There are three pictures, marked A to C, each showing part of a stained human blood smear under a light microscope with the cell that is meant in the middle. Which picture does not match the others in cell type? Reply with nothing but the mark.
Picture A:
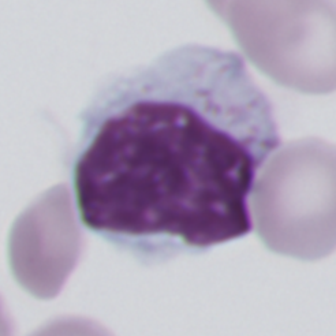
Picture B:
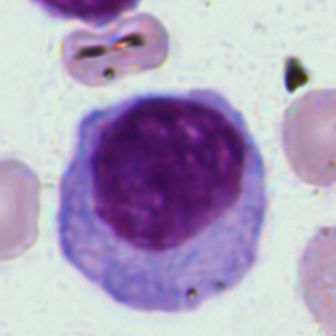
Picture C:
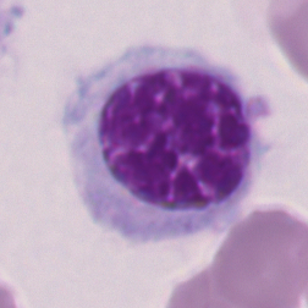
A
